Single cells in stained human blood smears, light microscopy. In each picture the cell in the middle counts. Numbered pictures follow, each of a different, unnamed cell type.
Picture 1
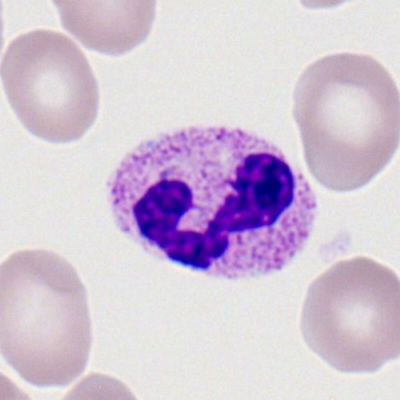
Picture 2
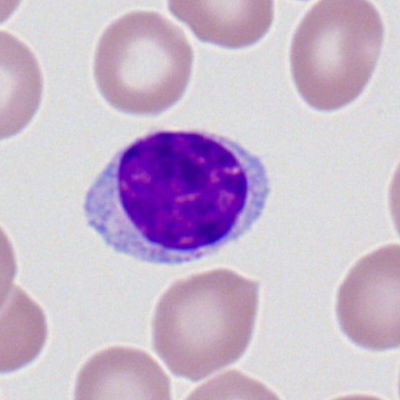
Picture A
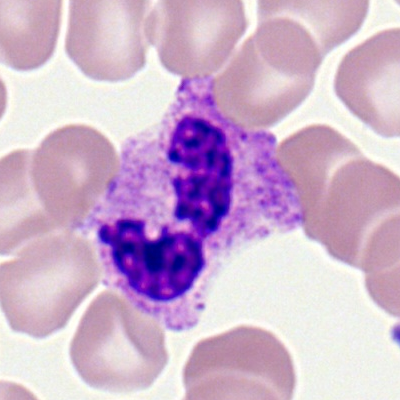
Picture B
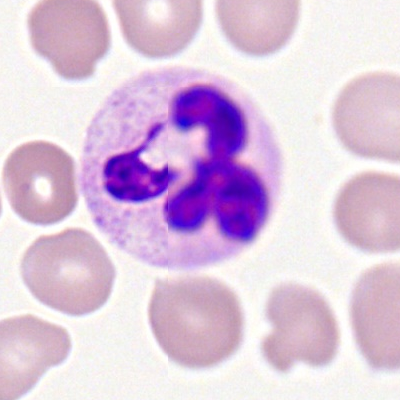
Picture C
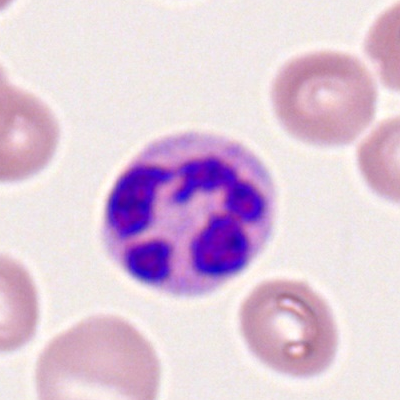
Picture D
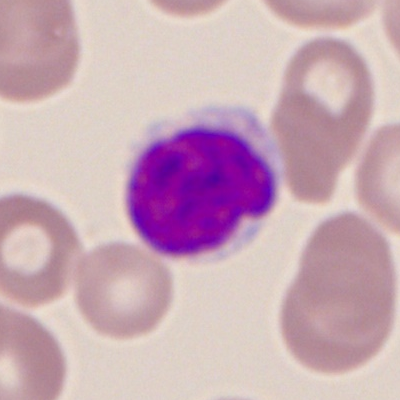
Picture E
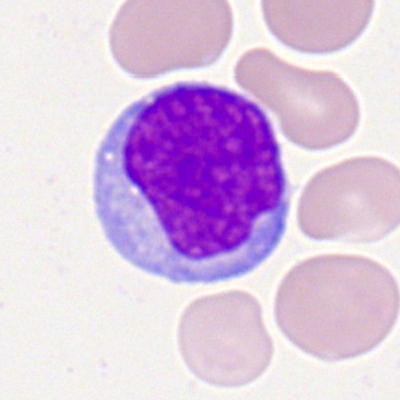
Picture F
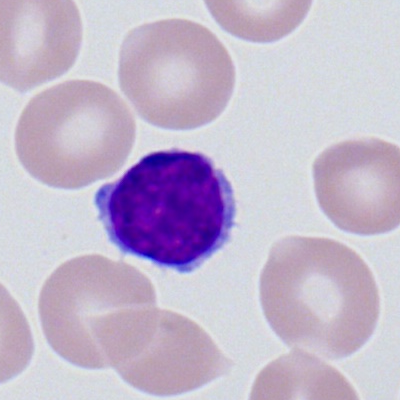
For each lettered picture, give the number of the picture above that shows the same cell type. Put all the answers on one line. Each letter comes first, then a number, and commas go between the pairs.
A 1, B 1, C 1, D 2, E 2, F 2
